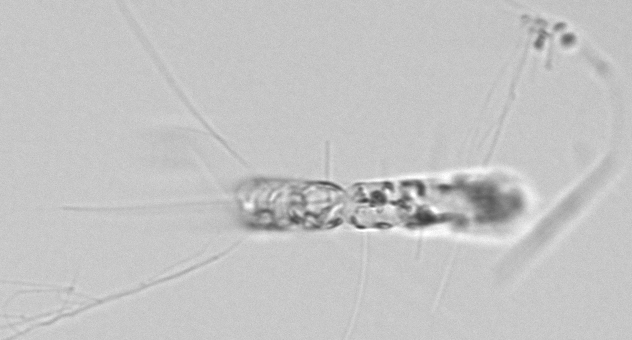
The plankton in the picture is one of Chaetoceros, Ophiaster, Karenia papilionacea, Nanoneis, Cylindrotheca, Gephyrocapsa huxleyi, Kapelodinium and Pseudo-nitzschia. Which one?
Chaetoceros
